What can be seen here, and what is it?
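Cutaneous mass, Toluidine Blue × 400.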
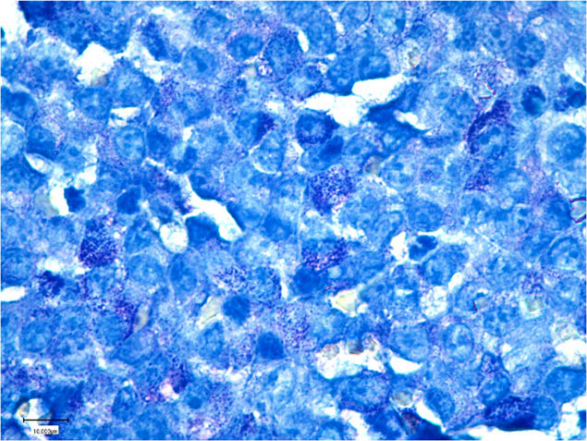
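Within the cytoplasm of many cells lie fine purple-violet metachromatic granules, which in some cells gather into dense clusters. The granules contrast clearly with the blue background of nuclei and cytoplasm.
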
